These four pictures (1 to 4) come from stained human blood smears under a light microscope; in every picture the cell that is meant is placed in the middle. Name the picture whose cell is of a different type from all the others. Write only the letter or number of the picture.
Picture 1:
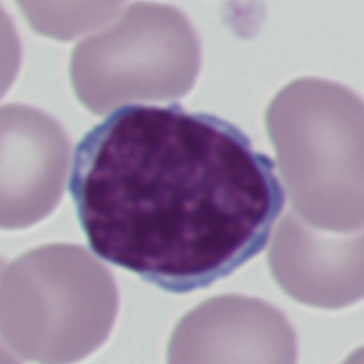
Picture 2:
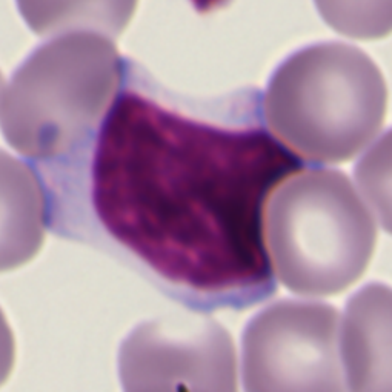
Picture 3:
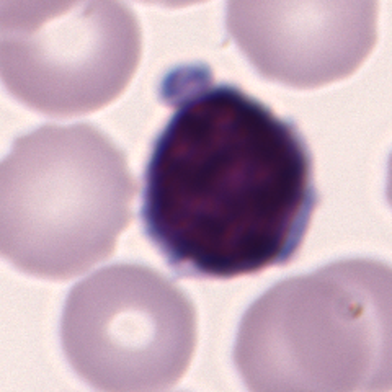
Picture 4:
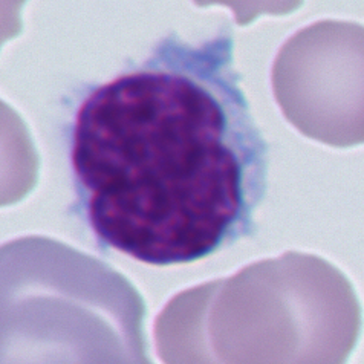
4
